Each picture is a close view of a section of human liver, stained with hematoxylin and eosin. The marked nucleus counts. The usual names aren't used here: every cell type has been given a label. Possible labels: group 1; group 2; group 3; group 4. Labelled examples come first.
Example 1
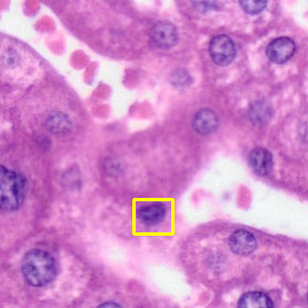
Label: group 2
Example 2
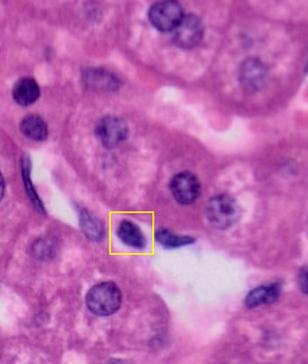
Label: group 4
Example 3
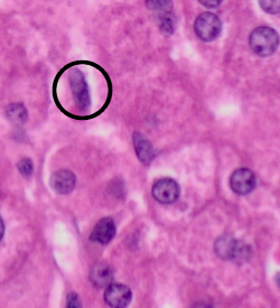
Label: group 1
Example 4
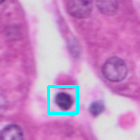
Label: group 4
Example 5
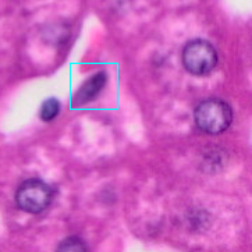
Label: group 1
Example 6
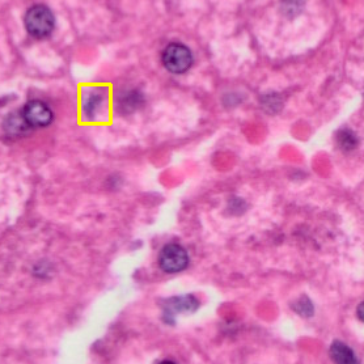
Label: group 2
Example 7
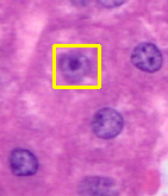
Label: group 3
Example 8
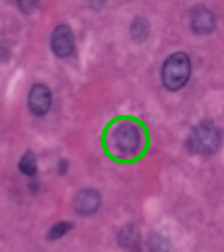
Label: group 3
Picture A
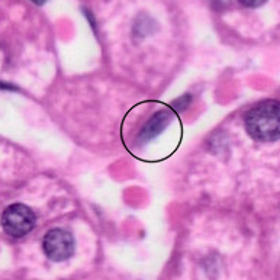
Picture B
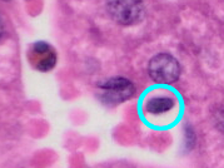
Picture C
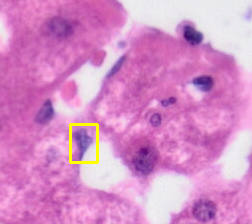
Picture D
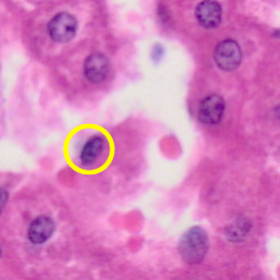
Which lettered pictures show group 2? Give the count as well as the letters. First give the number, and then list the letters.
2: C, D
